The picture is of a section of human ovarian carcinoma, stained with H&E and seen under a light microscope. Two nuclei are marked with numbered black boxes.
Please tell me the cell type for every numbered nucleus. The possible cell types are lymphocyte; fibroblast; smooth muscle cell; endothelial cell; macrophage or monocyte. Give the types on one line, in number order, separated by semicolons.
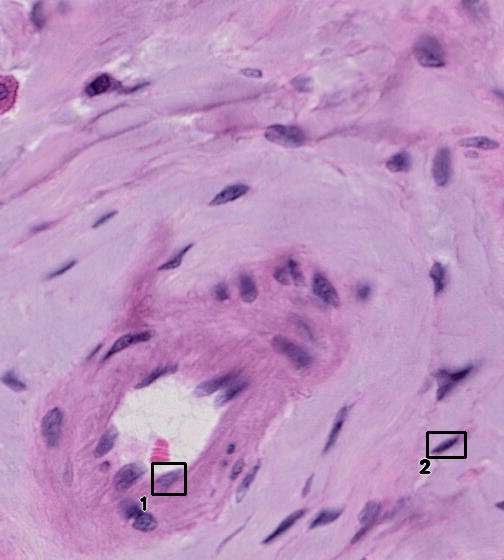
endothelial cell; fibroblast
